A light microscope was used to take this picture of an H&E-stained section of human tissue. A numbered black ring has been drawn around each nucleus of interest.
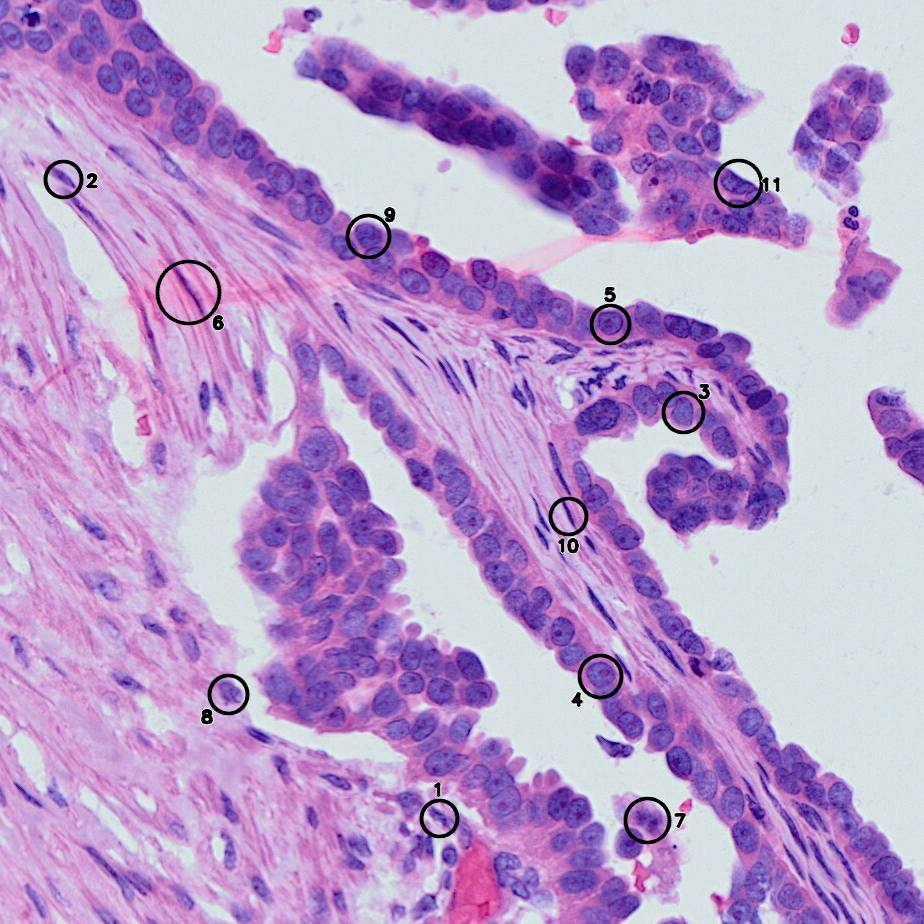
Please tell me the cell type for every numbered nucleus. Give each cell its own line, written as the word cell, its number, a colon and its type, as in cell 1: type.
cell 1: fibroblast
cell 2: fibroblast
cell 3: carcinoma cell
cell 4: carcinoma cell
cell 5: carcinoma cell
cell 6: fibroblast
cell 7: macrophage or monocyte
cell 8: macrophage or monocyte
cell 9: carcinoma cell
cell 10: fibroblast
cell 11: carcinoma cell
